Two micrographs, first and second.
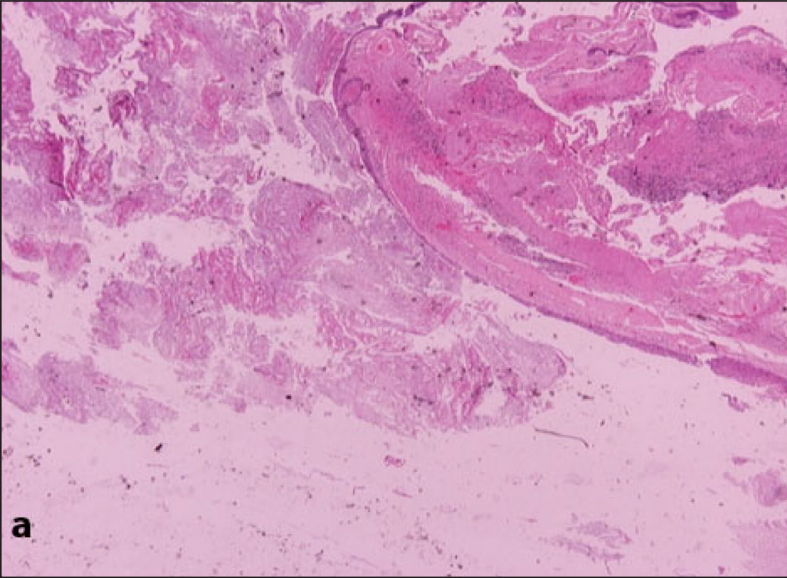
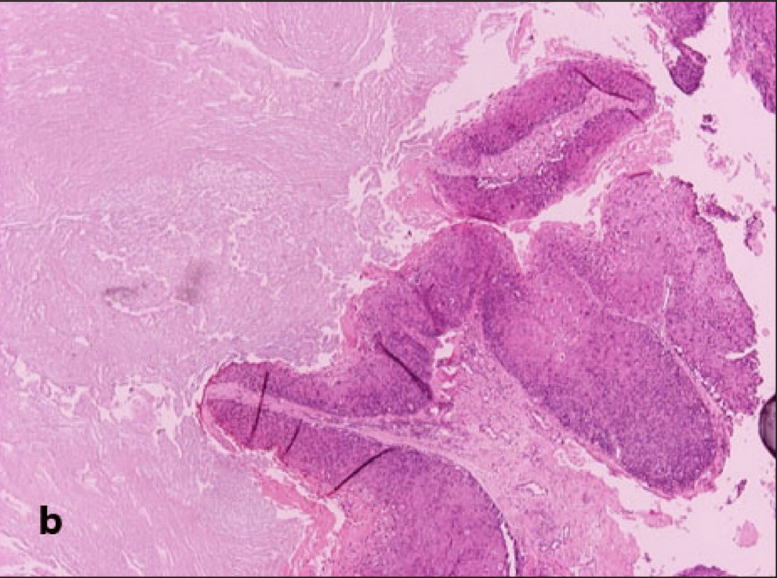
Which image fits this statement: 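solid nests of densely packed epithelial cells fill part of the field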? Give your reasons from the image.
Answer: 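The second image. Second image: large, dark purple, cell-rich nests of epithelium occupy the right side.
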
